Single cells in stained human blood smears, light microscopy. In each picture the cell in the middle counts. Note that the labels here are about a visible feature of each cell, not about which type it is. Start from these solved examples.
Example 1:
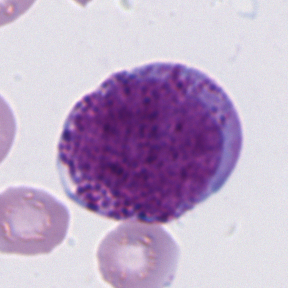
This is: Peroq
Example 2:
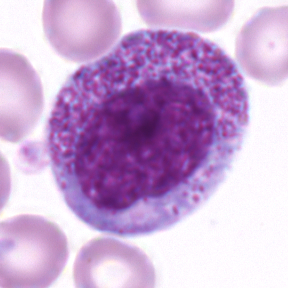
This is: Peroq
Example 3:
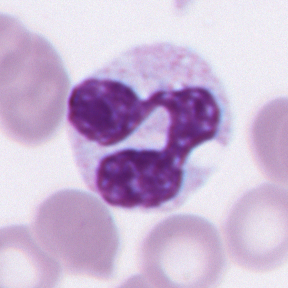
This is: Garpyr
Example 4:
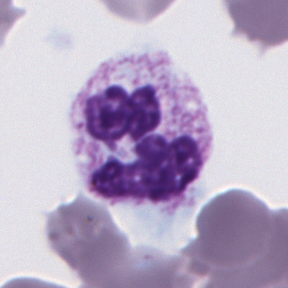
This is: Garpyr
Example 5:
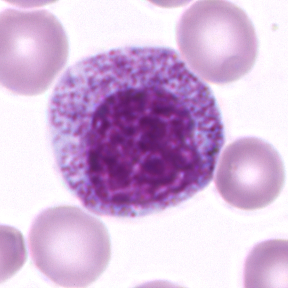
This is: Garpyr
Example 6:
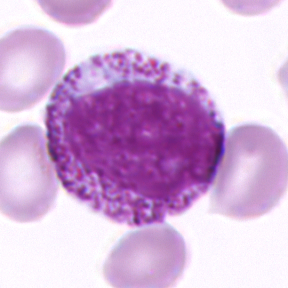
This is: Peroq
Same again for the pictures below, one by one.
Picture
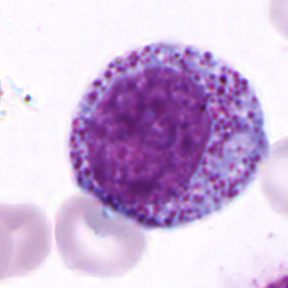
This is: Peroq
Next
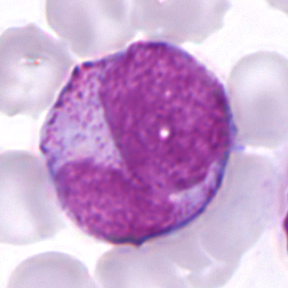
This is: Garpyr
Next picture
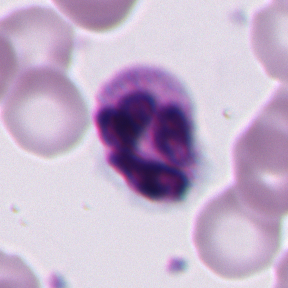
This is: Garpyr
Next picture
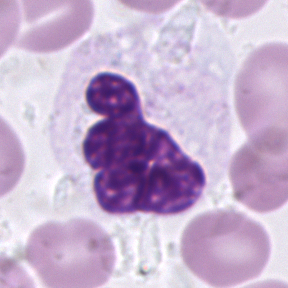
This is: Garpyr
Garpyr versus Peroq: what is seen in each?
In Garpyr: fine or small granules. In Peroq: coarse or large granules.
